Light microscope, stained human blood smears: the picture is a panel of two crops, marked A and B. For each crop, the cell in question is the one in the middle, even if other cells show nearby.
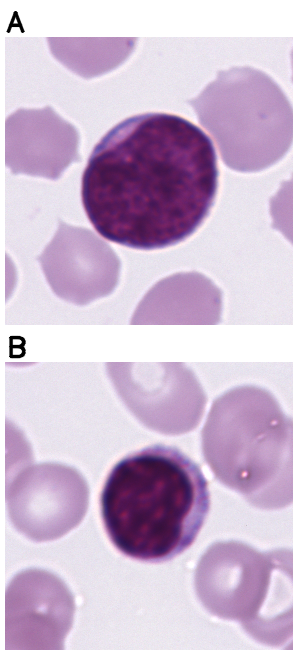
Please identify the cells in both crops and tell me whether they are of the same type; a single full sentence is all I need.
No, crop A gives us a myeloblast and crop B gives us a typical lymphocyte.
